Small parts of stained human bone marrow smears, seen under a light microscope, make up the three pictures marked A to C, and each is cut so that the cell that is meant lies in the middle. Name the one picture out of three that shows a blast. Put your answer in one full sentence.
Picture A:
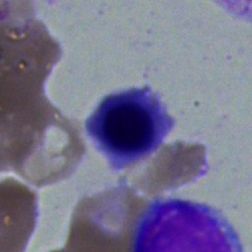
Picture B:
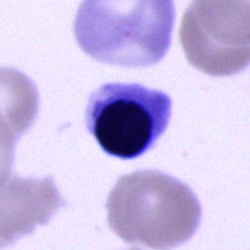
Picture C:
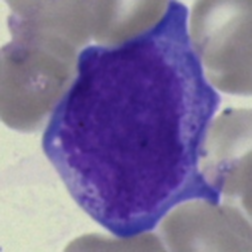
Picture C is the one that shows the blast.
